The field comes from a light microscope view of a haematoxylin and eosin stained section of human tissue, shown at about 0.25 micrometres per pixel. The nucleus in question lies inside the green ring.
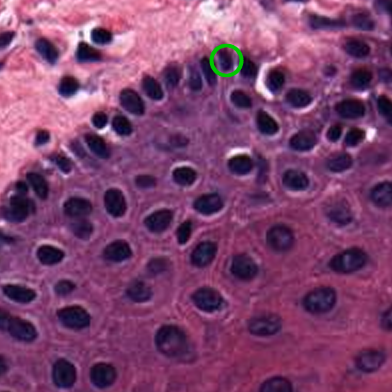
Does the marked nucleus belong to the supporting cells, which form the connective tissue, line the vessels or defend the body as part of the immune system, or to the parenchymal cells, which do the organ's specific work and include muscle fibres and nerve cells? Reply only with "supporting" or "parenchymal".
parenchymal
